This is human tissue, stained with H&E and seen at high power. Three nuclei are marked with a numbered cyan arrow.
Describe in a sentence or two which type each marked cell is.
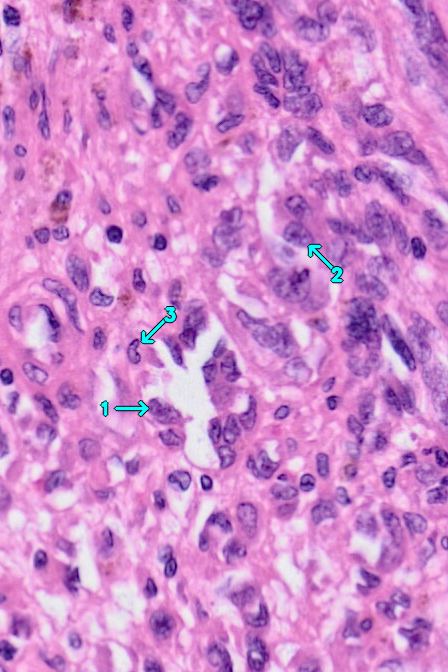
Cells 1 and 2 are melanoma cells. Cell 3 is a macrophage or monocyte.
